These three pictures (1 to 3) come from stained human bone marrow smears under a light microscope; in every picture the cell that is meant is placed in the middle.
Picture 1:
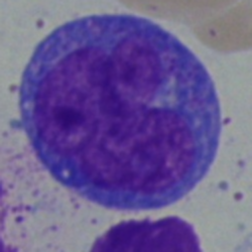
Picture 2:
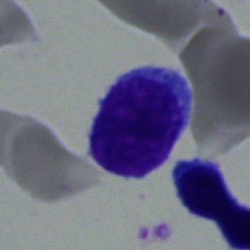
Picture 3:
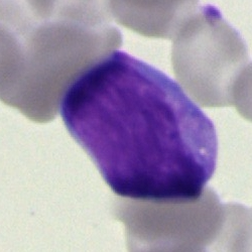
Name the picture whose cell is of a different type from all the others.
2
